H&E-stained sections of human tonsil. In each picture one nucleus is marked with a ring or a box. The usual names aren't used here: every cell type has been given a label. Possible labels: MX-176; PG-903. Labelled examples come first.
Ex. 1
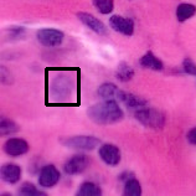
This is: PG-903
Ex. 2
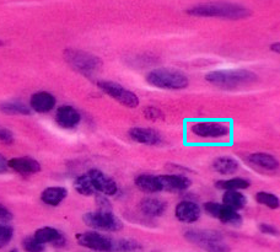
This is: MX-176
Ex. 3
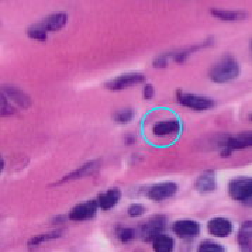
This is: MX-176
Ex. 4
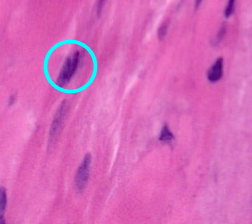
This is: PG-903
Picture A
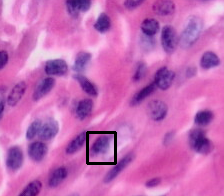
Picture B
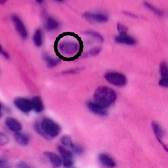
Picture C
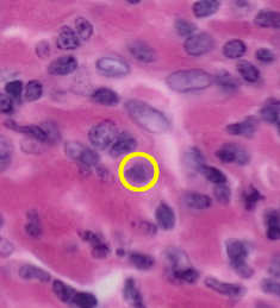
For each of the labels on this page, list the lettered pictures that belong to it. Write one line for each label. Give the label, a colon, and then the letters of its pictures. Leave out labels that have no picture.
MX-176: C
PG-903: A, B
